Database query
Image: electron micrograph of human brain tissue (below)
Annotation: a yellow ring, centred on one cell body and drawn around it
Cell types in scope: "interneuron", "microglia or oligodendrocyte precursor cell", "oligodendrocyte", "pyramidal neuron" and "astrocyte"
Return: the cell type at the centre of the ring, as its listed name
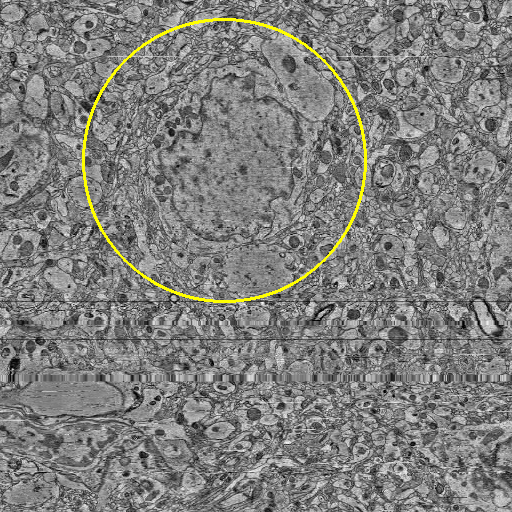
interneuron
